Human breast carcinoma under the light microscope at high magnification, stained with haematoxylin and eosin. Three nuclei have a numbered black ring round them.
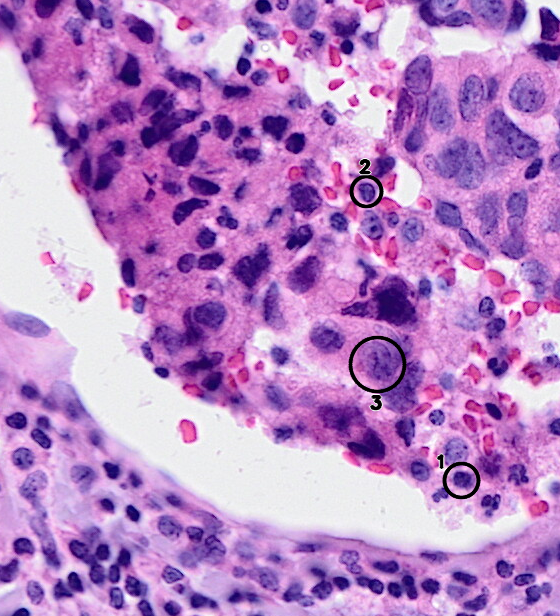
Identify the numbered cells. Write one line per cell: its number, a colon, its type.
1: lymphocyte
2: lymphocyte
3: carcinoma cell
